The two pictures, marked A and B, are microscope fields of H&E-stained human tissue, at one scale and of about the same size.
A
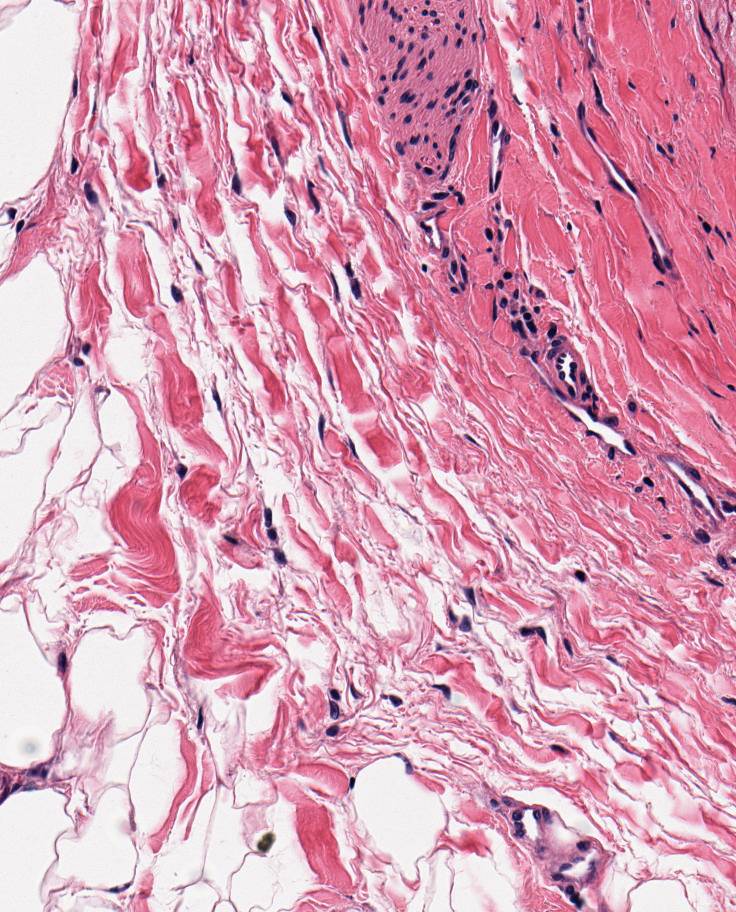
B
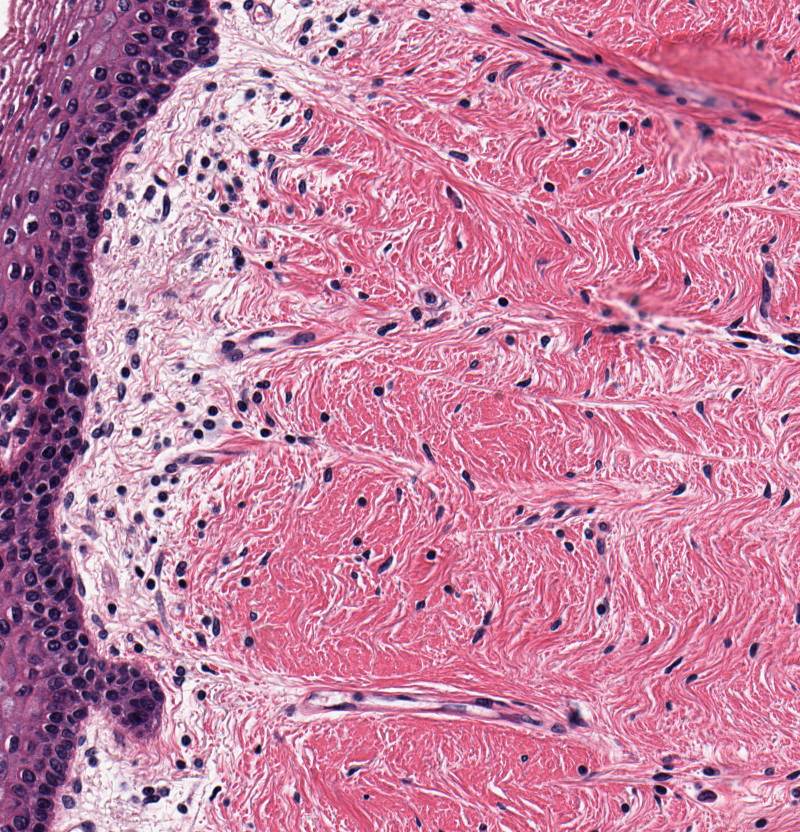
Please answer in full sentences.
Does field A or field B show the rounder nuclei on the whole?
It is field B whose nuclei are the rounder.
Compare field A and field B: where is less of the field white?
Less of field B is empty and white.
